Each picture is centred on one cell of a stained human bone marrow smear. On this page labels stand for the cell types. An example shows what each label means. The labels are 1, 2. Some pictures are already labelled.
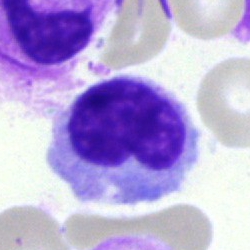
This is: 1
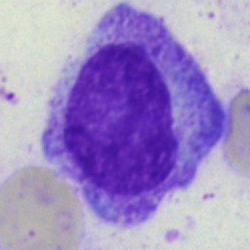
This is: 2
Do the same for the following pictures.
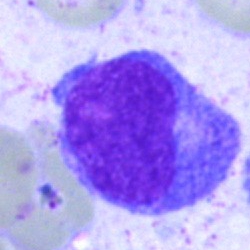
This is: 2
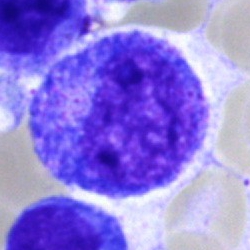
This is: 2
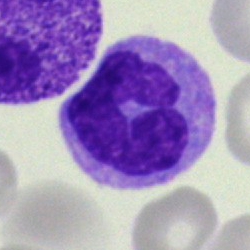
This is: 1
